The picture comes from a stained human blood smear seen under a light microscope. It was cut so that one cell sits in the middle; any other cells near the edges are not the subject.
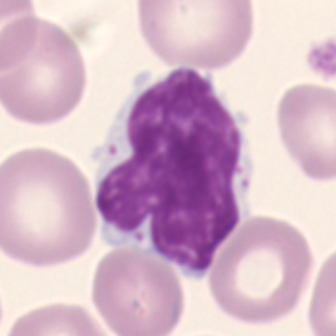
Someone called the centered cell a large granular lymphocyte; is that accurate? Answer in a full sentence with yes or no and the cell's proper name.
Yes, the cell in the central position is a large granular lymphocyte.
